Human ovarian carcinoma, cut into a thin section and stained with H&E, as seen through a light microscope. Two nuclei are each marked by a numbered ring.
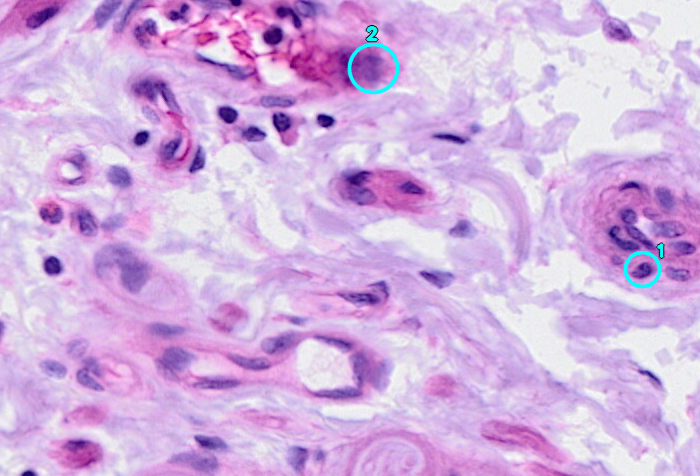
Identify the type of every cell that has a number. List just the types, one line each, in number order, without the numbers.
smooth muscle cell
endothelial cell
